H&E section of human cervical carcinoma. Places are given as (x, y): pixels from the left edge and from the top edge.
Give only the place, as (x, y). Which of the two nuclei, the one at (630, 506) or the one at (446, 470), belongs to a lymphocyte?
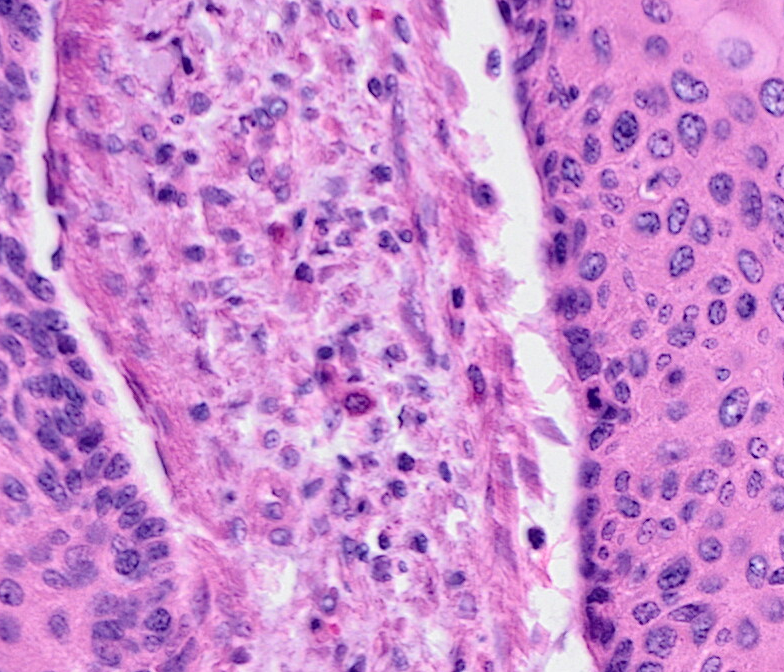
(446, 470)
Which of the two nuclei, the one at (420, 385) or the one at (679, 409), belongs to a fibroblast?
(420, 385)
